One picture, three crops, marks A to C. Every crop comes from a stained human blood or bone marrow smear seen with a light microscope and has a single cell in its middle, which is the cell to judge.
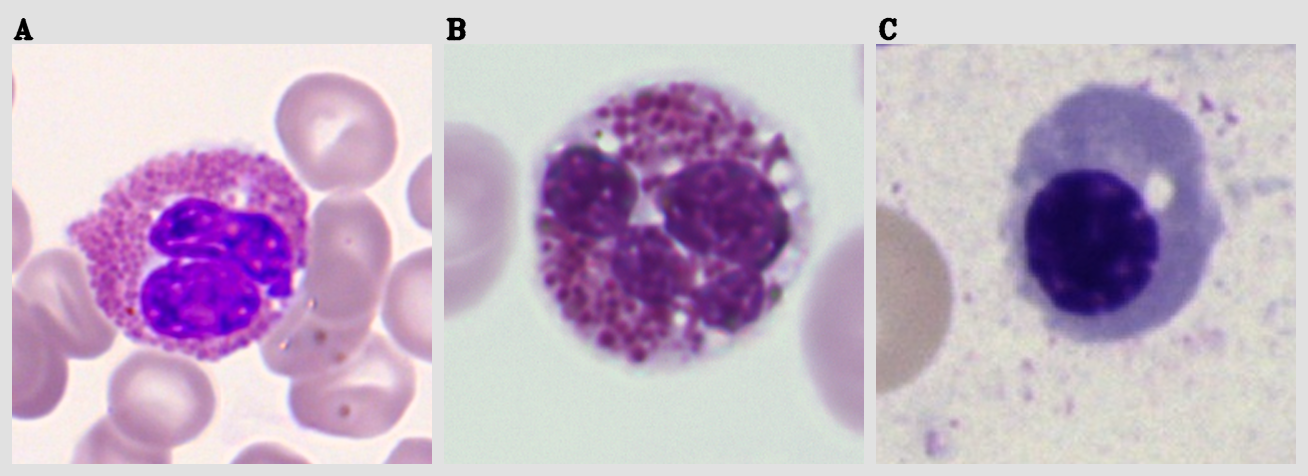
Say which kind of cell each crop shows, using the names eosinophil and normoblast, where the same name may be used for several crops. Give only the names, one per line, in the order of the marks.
eosinophil
eosinophil
normoblast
